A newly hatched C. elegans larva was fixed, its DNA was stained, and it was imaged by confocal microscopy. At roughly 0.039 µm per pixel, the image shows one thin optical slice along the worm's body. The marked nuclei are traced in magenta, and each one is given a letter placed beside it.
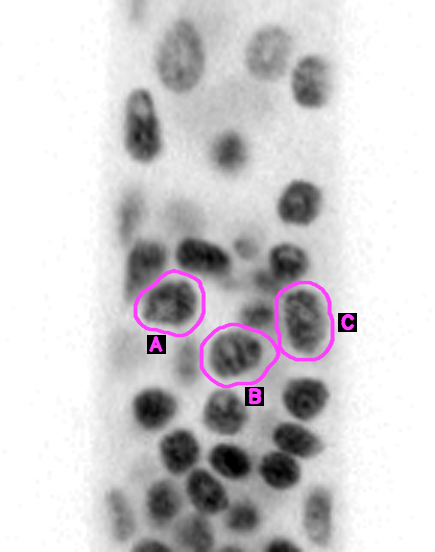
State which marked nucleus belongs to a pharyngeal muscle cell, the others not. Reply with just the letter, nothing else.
B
